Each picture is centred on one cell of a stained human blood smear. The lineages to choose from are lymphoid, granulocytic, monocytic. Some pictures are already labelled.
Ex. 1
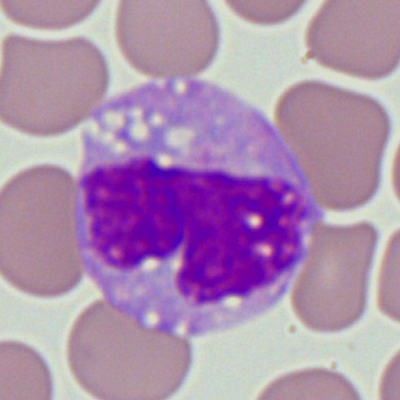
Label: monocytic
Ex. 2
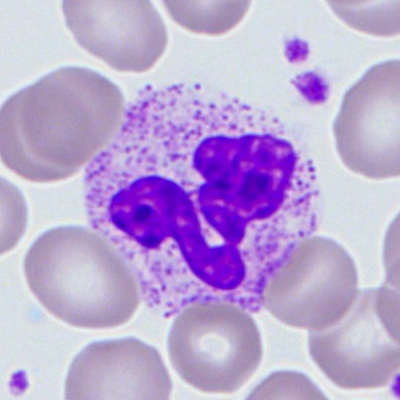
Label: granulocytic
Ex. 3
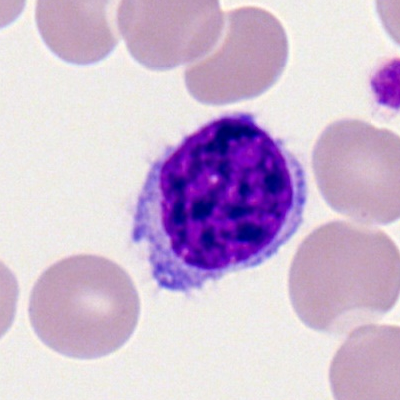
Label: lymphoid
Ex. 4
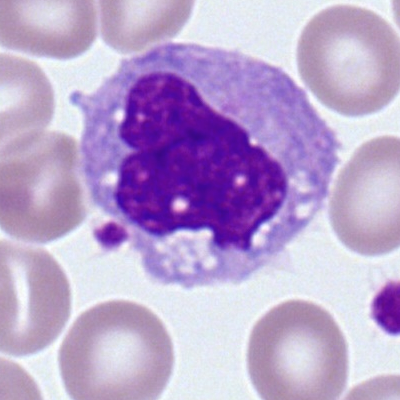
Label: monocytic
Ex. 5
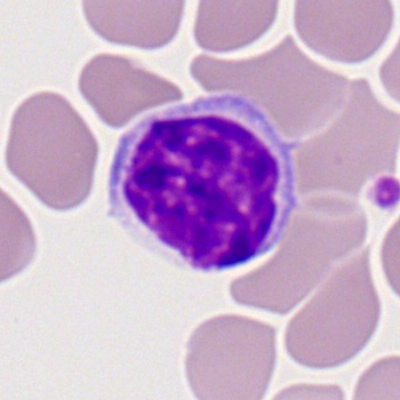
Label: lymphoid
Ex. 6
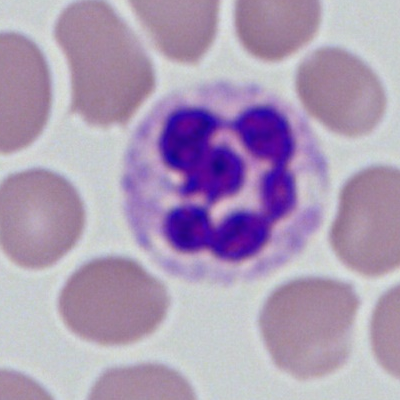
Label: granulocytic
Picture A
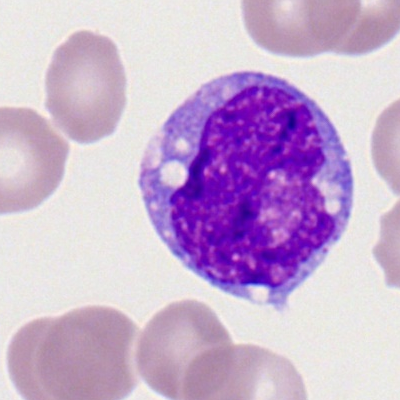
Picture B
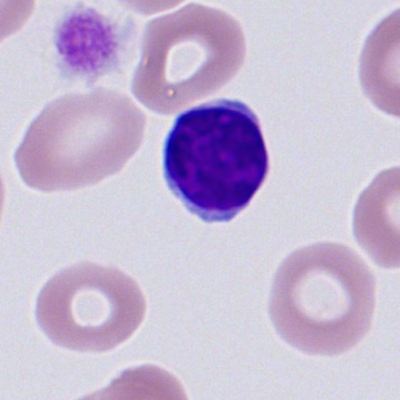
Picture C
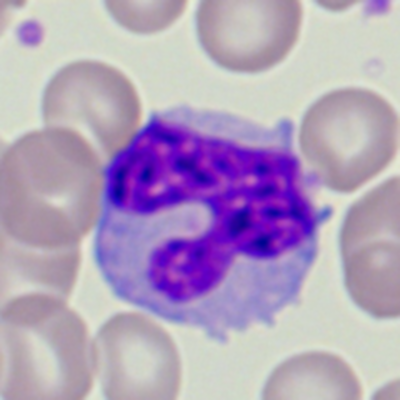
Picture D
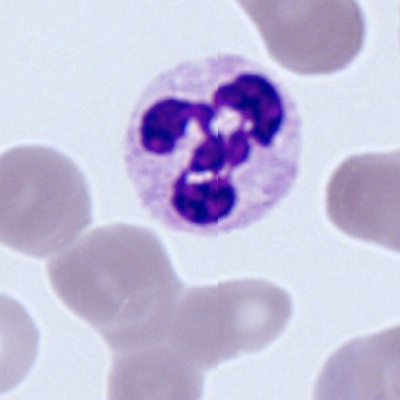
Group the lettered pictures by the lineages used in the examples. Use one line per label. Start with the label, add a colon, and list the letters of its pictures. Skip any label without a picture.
lymphoid: B
granulocytic: D
monocytic: A, C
